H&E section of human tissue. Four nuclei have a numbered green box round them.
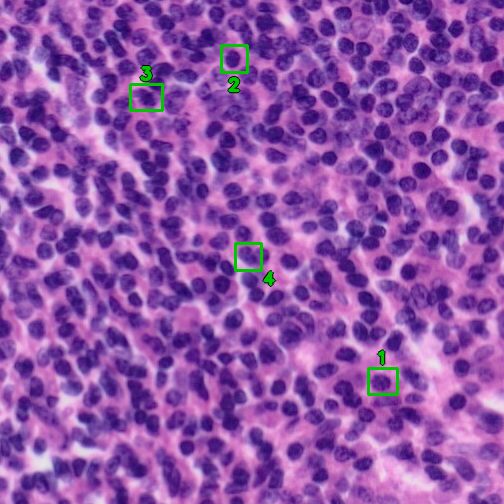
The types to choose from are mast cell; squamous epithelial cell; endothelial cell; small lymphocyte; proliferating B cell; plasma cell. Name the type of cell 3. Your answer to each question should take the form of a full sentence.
The cell tagged with 3 in this tissue section is a small lymphocyte.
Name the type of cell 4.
The cell bearing label 4 corresponds to a small lymphocyte.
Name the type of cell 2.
The identity of cell 2 is that of a small lymphocyte.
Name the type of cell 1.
In the marked set, the cell given number 1 is a plasma cell.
